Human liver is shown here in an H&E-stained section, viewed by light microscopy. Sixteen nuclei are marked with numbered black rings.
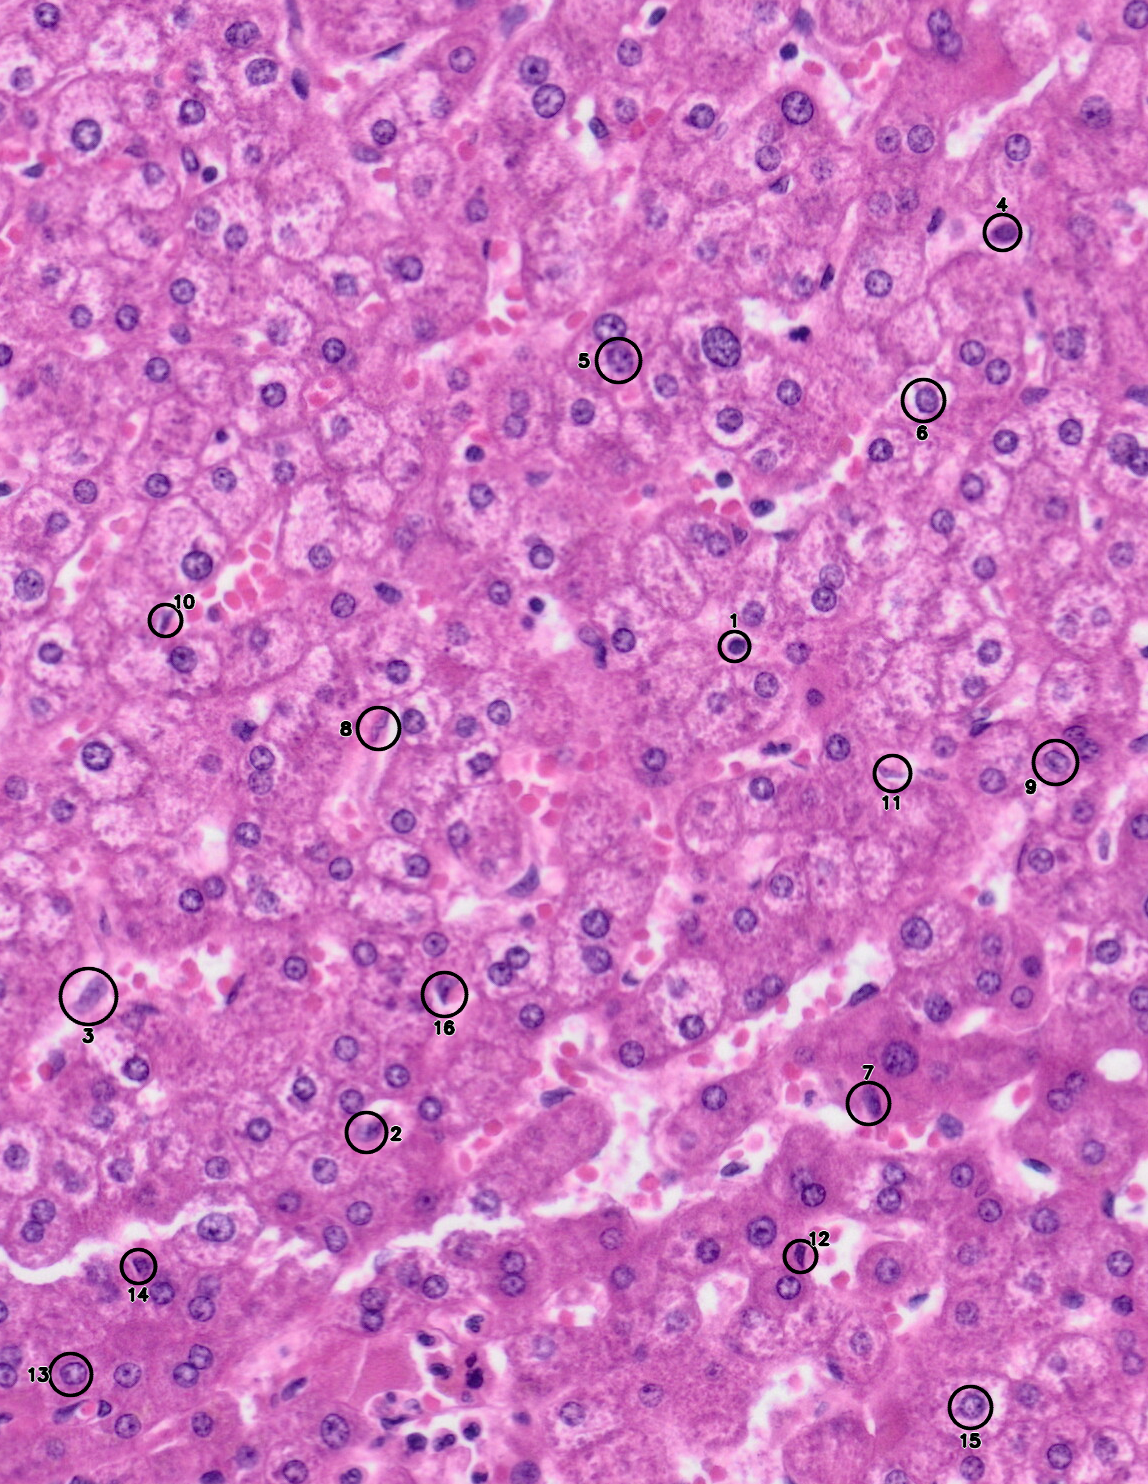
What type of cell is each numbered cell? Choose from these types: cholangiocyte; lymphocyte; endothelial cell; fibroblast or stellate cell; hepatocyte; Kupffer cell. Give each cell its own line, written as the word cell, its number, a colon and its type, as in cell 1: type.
cell 1: lymphocyte
cell 2: Kupffer cell
cell 3: Kupffer cell
cell 4: Kupffer cell
cell 5: hepatocyte
cell 6: hepatocyte
cell 7: fibroblast or stellate cell
cell 8: Kupffer cell
cell 9: hepatocyte
cell 10: endothelial cell
cell 11: endothelial cell
cell 12: fibroblast or stellate cell
cell 13: hepatocyte
cell 14: fibroblast or stellate cell
cell 15: hepatocyte
cell 16: endothelial cell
